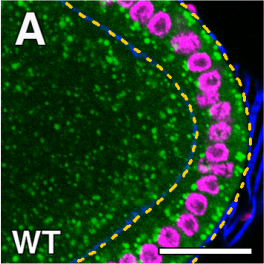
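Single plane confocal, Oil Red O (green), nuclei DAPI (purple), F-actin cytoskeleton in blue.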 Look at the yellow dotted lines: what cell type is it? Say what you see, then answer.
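The outlined layer covers the curved edge of a much larger cell.
Follicle cells.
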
